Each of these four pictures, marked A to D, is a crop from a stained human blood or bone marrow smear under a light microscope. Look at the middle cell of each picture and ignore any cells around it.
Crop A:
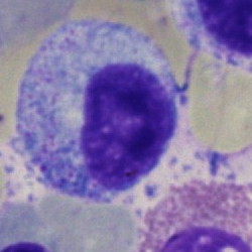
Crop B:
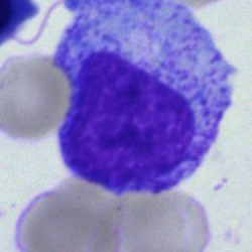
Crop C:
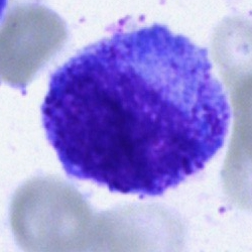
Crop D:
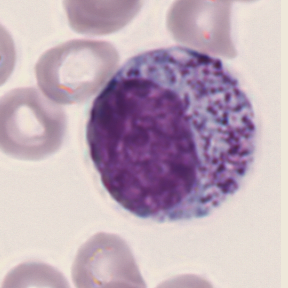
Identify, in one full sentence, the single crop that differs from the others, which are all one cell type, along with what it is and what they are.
Crop A is the only one that is a myelocyte; all the others show promyelocytes.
